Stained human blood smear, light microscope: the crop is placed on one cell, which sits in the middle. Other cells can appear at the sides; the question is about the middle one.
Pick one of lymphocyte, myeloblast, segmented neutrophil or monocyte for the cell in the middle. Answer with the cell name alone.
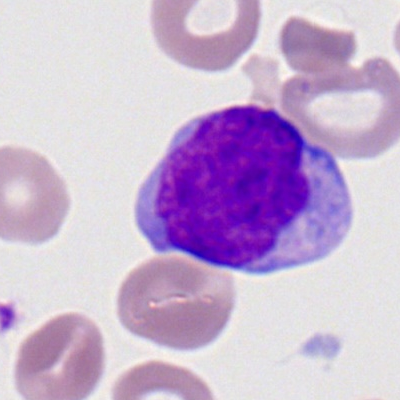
myeloblast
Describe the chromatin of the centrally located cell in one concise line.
You can see that its chromatin is coarsely clumped.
